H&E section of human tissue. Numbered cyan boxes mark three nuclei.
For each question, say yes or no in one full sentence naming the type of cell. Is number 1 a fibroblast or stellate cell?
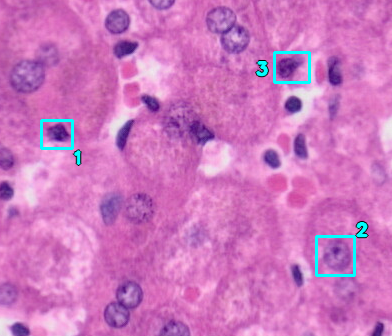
Yes, in the section, number 1 is a fibroblast or stellate cell.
